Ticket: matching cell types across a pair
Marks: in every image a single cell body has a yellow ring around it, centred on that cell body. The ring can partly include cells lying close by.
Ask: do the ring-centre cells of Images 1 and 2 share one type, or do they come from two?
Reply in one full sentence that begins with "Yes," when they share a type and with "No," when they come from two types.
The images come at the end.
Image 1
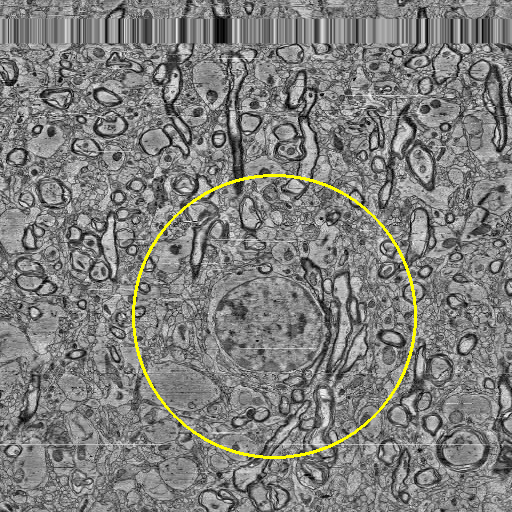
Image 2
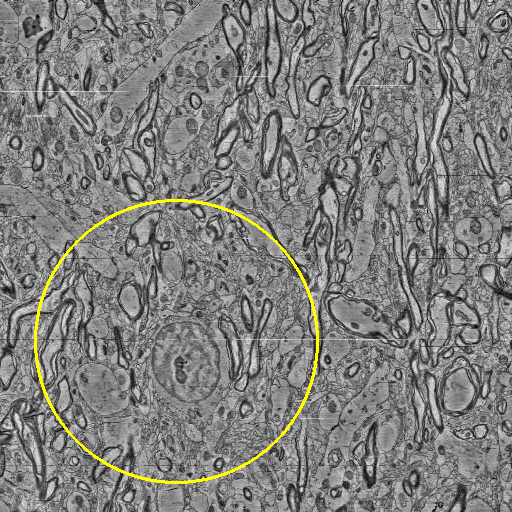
No, the cells in the centres of the rings in Image 1 and Image 2 come from two types.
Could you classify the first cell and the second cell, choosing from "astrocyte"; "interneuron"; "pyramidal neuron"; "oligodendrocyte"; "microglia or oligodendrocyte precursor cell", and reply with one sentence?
The second cell is an oligodendrocyte, while the first is a microglial cell or oligodendrocyte precursor cell.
